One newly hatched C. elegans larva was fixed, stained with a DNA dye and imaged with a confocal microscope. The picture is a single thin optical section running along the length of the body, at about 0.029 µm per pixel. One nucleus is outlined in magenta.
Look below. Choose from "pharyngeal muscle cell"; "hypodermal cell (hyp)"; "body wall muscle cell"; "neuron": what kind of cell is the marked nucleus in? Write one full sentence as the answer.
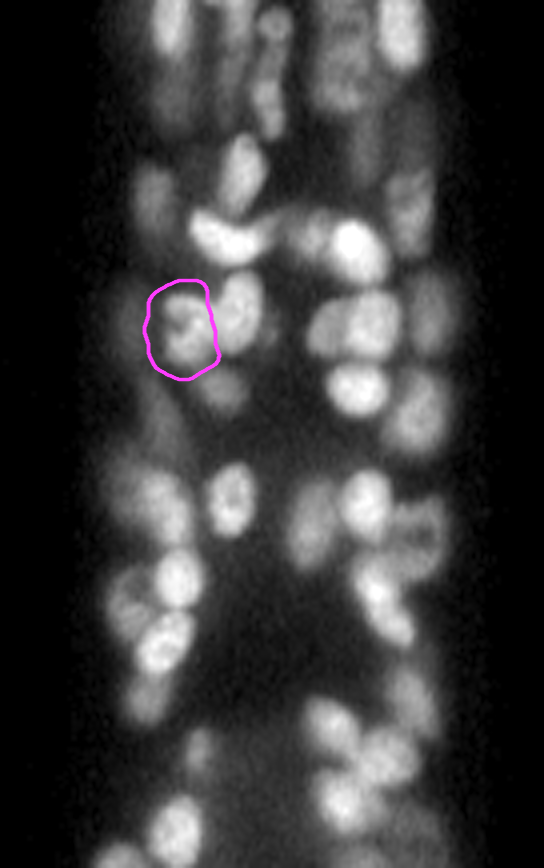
The marked cell is a pharyngeal muscle cell.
